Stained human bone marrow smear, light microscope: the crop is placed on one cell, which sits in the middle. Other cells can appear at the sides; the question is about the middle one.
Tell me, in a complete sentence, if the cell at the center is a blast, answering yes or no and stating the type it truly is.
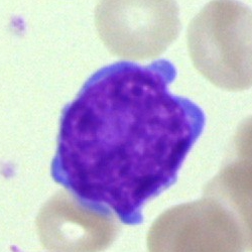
Yes, the identity of the central cell is that of a blast.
